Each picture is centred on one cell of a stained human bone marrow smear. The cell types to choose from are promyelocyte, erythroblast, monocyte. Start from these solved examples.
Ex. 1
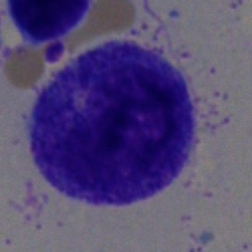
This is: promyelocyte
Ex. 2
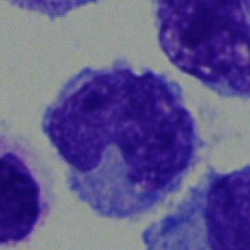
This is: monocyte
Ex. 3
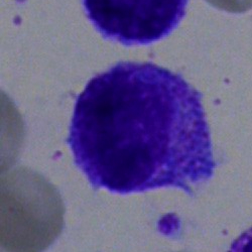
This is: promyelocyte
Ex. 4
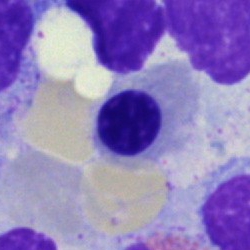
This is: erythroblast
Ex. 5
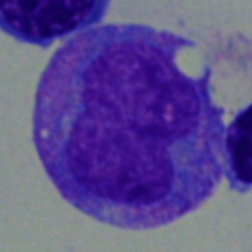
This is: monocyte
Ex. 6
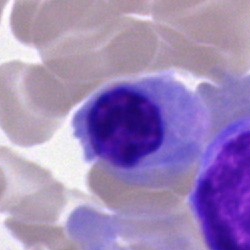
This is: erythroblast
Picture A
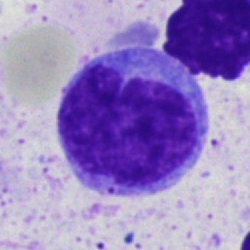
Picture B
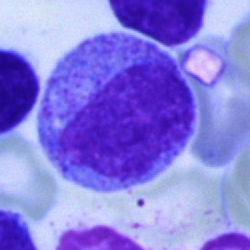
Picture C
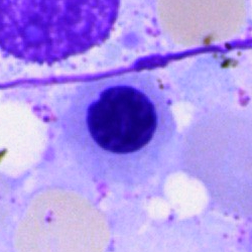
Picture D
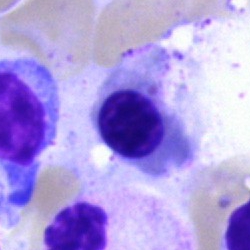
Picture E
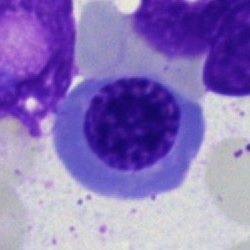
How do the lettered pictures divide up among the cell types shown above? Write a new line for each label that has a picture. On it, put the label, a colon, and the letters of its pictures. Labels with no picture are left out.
promyelocyte: B
erythroblast: C, D, E
monocyte: A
